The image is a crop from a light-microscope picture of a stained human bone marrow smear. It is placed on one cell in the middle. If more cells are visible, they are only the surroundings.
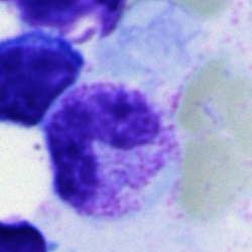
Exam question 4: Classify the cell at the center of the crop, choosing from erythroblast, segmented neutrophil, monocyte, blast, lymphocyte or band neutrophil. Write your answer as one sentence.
The identification for the central cell is a band neutrophil.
